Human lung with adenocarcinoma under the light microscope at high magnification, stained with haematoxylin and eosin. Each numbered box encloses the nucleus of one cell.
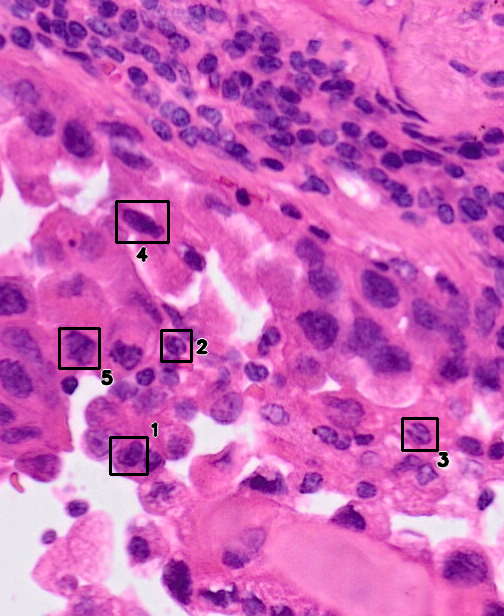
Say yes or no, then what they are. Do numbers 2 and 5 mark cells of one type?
No, cell 2 is a lymphocyte, whereas cell 5, for its part, is a carcinoma cell.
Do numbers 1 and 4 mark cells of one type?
Yes, cells 1 and 4 both qualify as carcinoma cells.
